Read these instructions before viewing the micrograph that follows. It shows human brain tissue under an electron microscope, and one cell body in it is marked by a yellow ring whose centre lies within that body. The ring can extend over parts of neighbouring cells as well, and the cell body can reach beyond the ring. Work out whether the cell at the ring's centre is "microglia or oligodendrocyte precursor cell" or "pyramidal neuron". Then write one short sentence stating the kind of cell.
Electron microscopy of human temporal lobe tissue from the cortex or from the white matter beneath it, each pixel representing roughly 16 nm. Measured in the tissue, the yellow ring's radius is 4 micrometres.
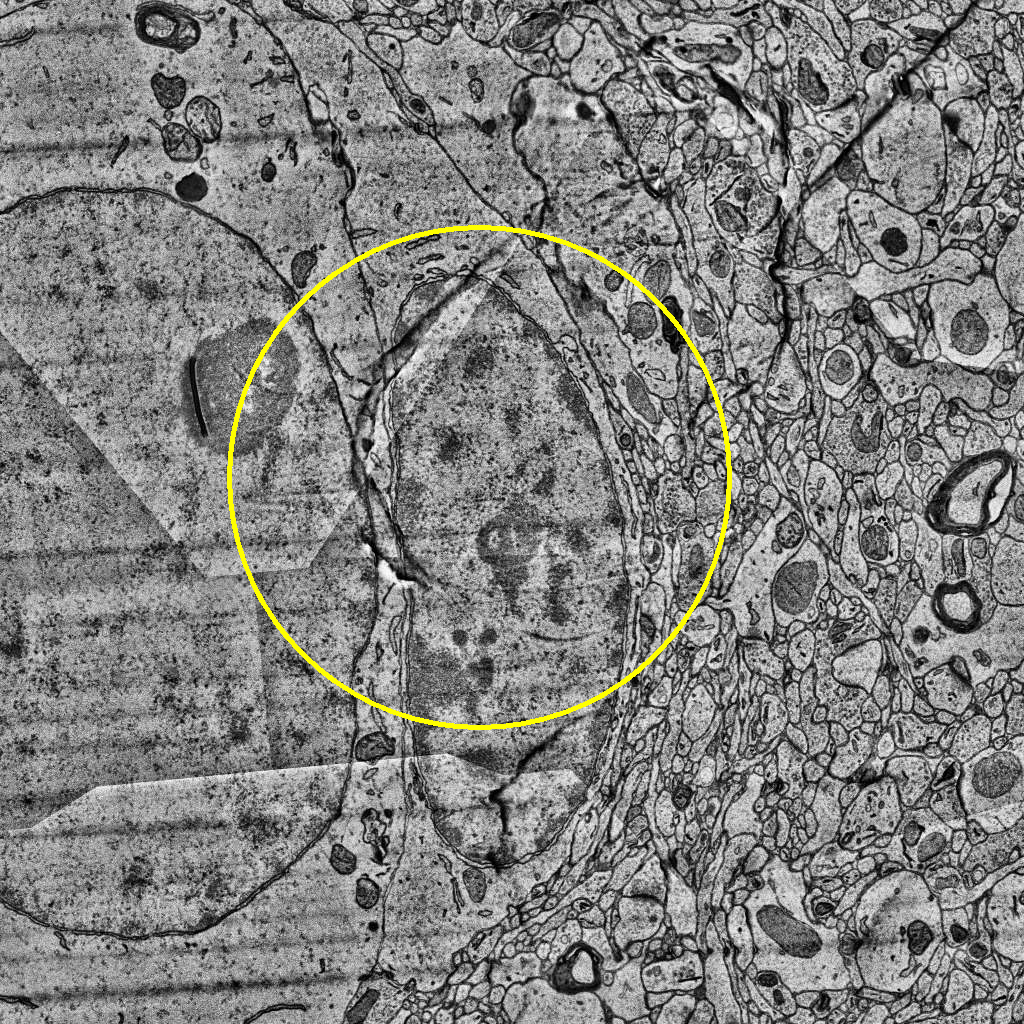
The cell at the ring's centre is a microglial cell or oligodendrocyte precursor cell.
